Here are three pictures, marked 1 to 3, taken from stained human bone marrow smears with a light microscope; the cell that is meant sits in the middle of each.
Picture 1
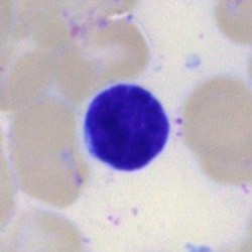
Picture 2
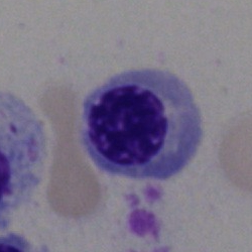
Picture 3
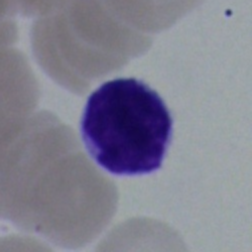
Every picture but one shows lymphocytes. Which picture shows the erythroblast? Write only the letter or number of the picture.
2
